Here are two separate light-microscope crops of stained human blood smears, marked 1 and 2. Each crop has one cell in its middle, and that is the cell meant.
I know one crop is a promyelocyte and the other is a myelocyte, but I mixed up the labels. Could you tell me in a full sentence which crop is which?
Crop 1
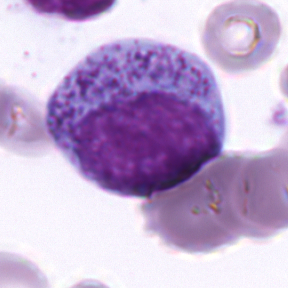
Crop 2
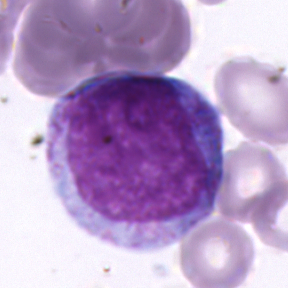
So, crop 1 is a myelocyte, and crop 2 is a promyelocyte.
